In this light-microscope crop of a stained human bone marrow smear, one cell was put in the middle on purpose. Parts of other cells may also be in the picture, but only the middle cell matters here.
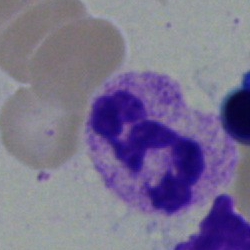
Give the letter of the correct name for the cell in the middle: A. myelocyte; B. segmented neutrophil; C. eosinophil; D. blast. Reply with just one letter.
B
